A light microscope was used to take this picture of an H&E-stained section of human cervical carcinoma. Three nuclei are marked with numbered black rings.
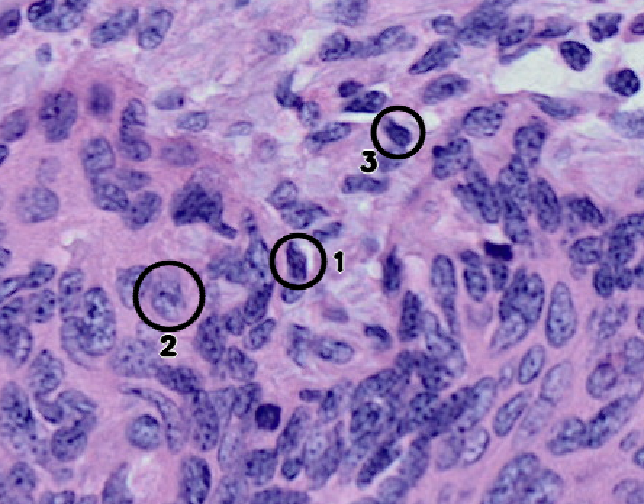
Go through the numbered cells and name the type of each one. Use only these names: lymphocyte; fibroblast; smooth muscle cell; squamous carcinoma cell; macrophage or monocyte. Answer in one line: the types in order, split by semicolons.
lymphocyte; squamous carcinoma cell; lymphocyte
